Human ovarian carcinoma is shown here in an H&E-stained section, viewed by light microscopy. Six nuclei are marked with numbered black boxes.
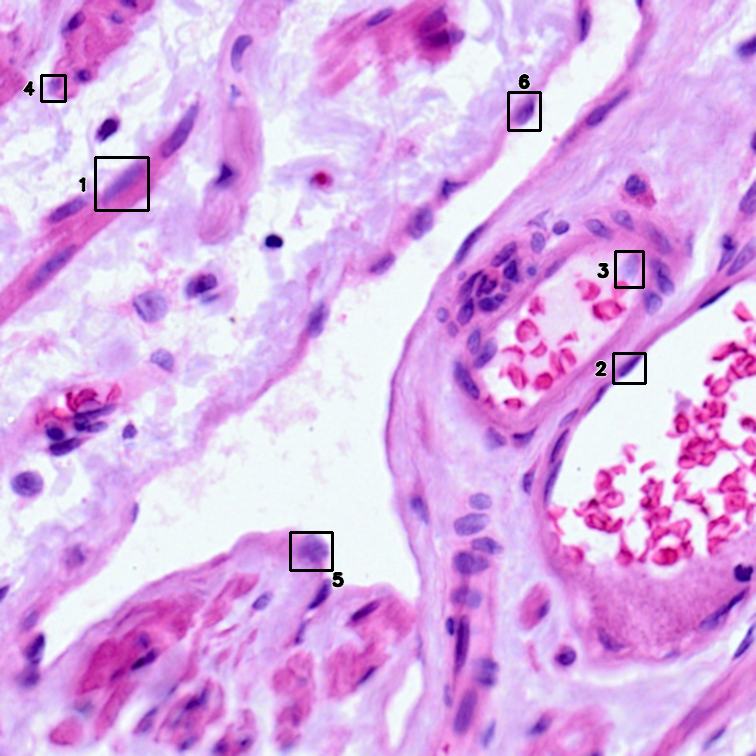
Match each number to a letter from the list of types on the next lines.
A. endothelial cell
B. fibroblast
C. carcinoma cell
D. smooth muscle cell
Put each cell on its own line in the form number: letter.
1: D
2: A
3: A
4: D
5: A
6: A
